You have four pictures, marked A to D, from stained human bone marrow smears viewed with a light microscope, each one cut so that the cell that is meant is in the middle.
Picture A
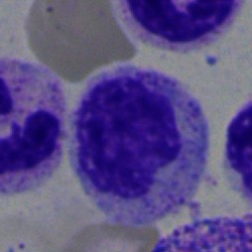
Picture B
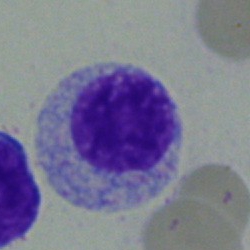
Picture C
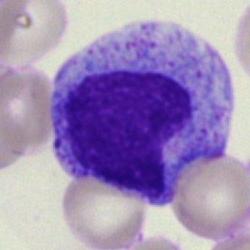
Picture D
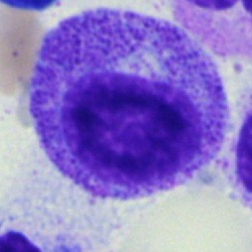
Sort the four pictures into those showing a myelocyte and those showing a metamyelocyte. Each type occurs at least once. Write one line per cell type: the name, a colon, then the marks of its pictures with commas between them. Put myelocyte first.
myelocyte: A, B, D
metamyelocyte: C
